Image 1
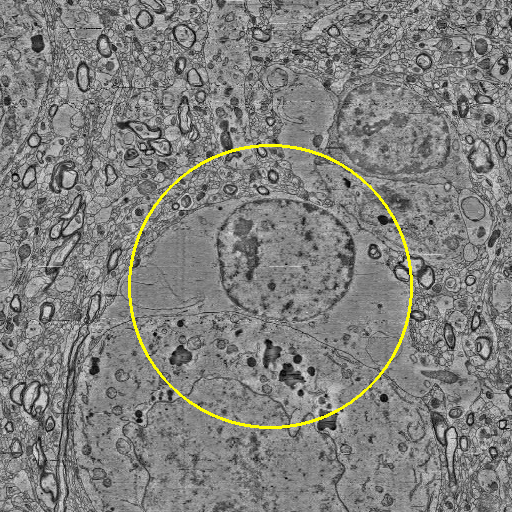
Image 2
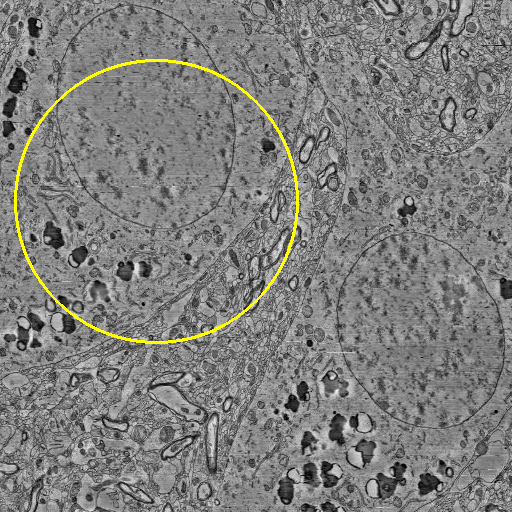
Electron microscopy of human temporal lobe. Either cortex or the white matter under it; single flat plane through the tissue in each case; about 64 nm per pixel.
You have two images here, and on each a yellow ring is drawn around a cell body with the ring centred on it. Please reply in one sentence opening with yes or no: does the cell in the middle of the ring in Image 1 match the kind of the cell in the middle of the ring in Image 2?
No, the two images show cells of two kinds at the centres of their rings.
